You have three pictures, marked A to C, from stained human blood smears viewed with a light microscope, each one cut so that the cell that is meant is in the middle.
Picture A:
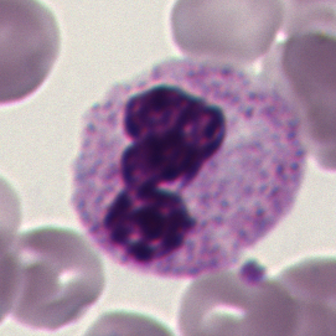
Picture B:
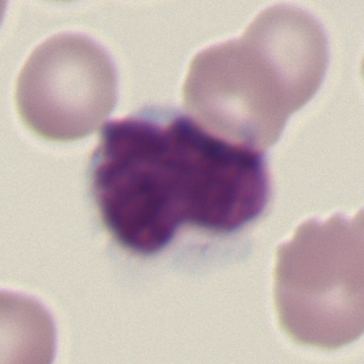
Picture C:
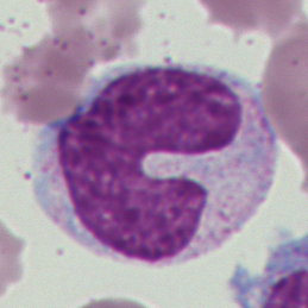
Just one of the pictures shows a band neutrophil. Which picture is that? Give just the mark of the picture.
C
